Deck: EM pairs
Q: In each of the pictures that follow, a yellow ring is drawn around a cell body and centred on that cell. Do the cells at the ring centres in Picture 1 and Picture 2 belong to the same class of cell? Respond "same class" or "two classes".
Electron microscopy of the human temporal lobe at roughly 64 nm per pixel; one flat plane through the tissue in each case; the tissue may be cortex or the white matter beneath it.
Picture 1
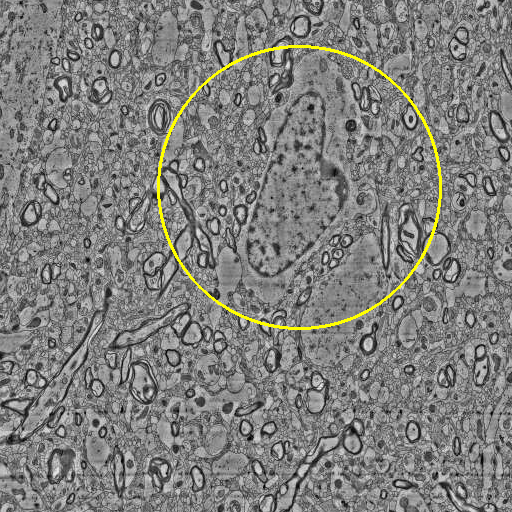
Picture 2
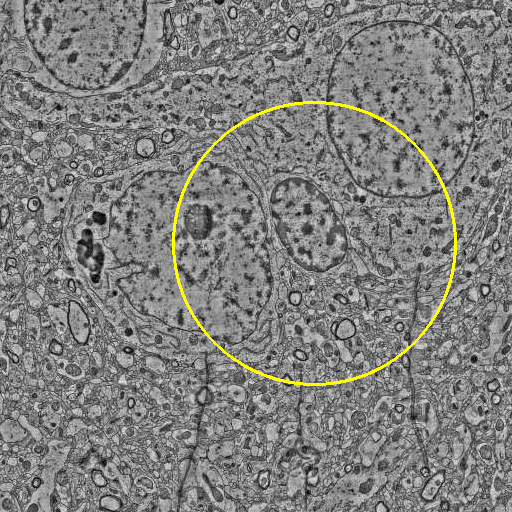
same class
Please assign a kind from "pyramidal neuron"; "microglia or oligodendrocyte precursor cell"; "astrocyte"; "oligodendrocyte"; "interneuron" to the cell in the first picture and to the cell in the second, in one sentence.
The first and the second cell are each a microglial cell or oligodendrocyte precursor cell.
